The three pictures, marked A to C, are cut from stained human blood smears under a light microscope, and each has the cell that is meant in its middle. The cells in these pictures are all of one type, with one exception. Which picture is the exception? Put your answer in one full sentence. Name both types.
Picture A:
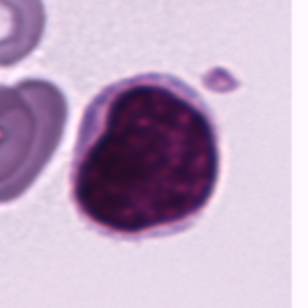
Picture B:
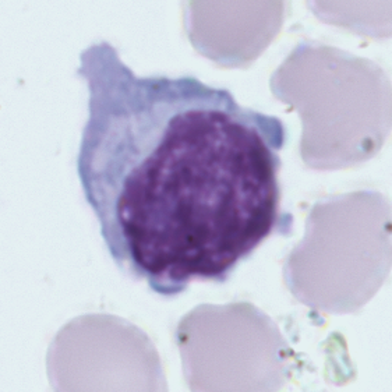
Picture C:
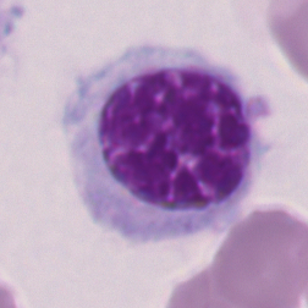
The different one is picture A; it shows a large granular lymphocyte, whereas all the others show plasma cells.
